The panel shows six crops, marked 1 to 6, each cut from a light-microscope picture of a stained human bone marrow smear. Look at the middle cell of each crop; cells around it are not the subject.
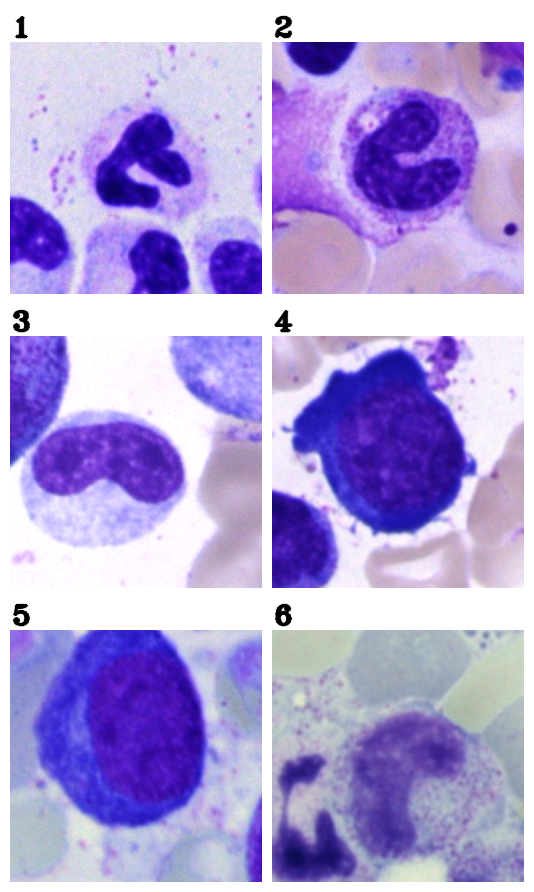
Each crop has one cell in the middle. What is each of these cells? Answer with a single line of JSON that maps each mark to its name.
{"1": "segmented neutrophil", "2": "band neutrophil", "3": "band neutrophil", "4": "proerythroblast", "5": "proerythroblast", "6": "band neutrophil"}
